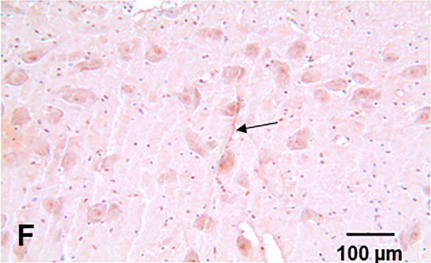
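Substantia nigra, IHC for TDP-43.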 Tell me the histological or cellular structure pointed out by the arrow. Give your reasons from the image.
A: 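The arrow marks a thin elongated dark-stained thread in the tissue. The thread lies between many pale, lightly stained neurons. The answer: neurite.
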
